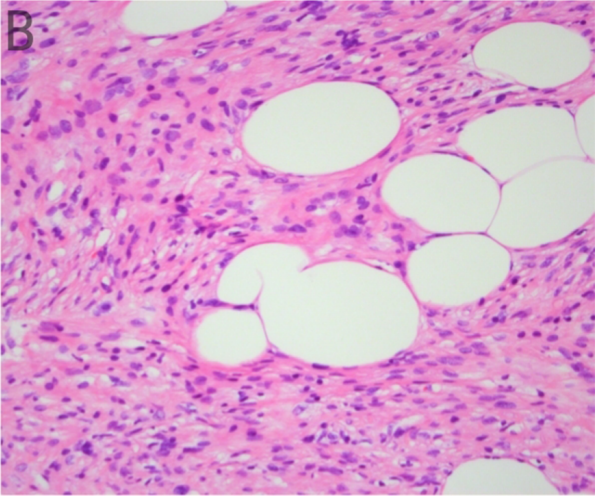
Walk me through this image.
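Here spindle-shaped tumor cells are growing in among fat cells. Around and between them lie many slender cells with elongated, oval to wavy purple nuclei and pale pink cytoplasm, set in a loose pink fibrous background. The spindle cells run in loose streams and wrap around the fat cells instead of respecting their borders. This is the pattern of a spindle cell growth infiltrating adipose tissue.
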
